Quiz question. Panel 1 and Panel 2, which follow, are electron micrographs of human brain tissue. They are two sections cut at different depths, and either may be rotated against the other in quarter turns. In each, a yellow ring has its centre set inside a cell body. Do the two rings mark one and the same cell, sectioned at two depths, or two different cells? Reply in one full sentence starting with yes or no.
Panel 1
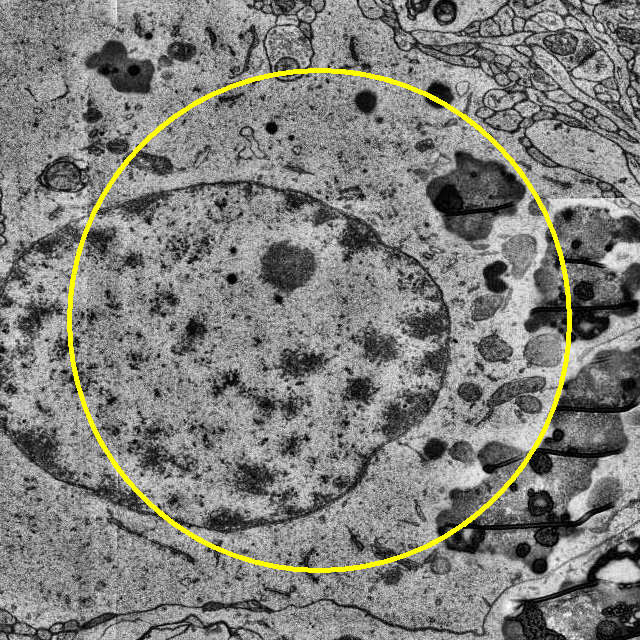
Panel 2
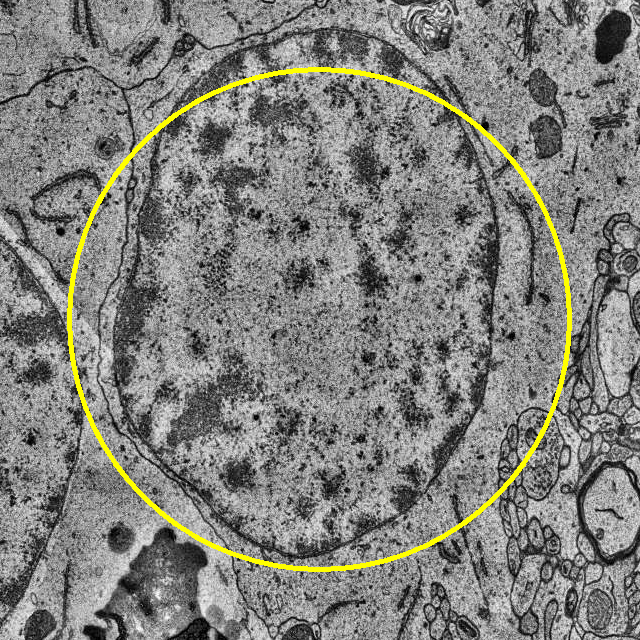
Yes, both circles in yellow pick out the same cell.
